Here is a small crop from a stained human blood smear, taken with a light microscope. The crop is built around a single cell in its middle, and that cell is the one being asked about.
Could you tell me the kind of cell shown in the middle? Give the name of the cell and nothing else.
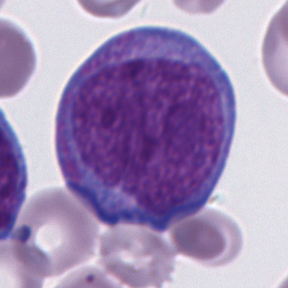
promyelocyte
